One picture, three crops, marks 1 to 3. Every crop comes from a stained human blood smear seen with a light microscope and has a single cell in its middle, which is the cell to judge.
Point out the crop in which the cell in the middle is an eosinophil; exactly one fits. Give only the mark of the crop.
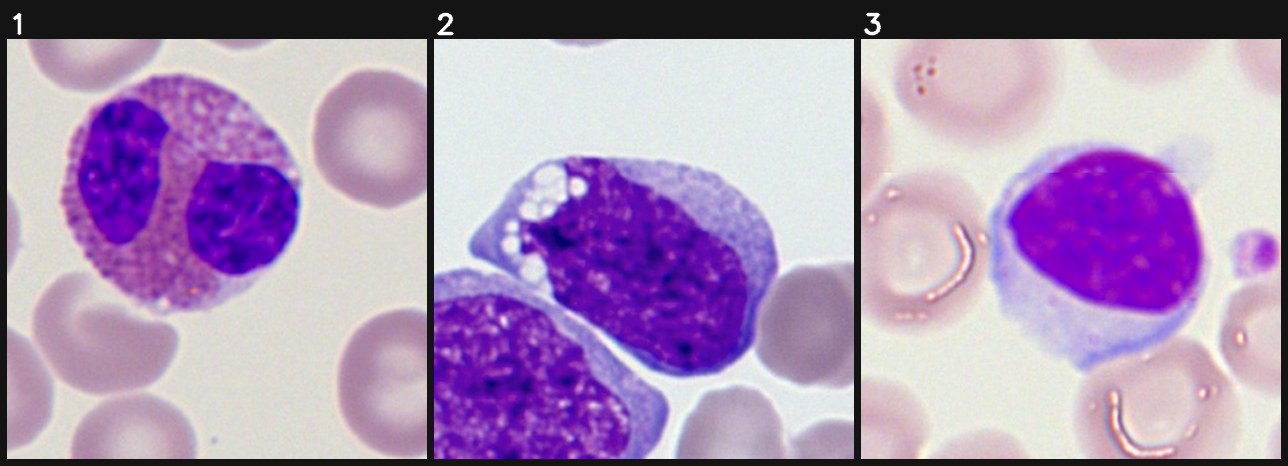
1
